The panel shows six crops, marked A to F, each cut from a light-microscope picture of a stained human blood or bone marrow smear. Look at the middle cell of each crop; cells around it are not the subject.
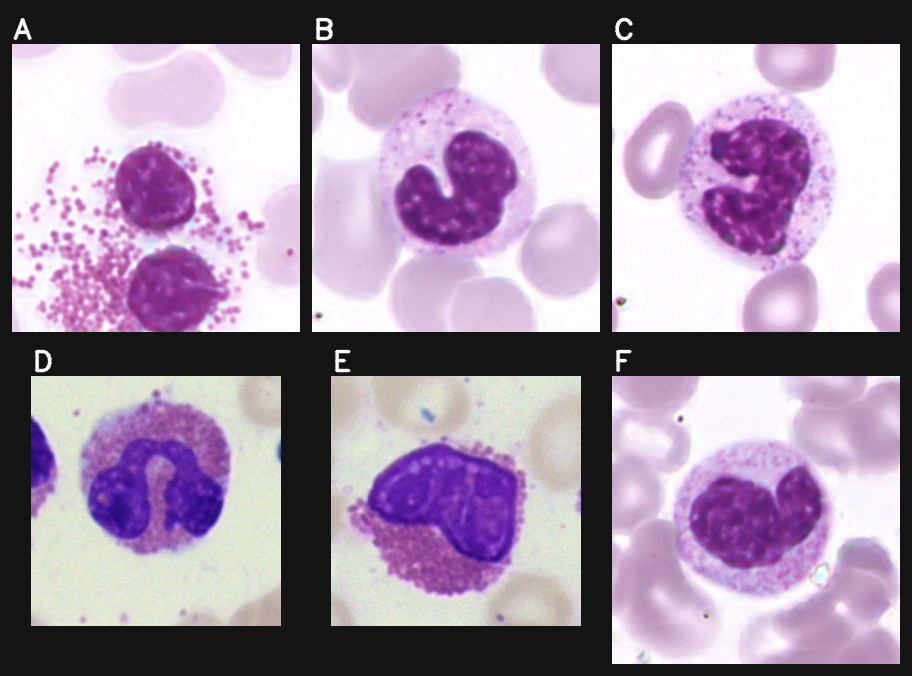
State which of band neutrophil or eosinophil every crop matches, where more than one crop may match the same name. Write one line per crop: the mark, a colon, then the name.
A: eosinophil
B: band neutrophil
C: band neutrophil
D: eosinophil
E: eosinophil
F: band neutrophil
